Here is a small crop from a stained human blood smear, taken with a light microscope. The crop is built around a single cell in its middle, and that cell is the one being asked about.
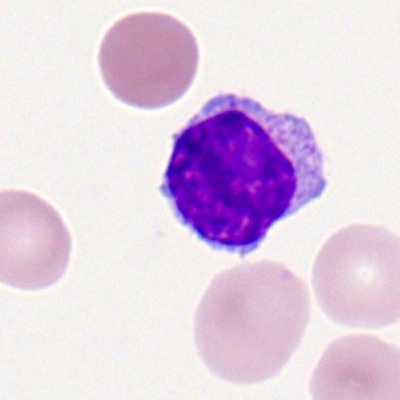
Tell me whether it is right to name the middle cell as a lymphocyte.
yes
